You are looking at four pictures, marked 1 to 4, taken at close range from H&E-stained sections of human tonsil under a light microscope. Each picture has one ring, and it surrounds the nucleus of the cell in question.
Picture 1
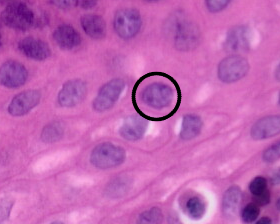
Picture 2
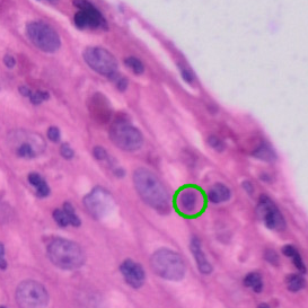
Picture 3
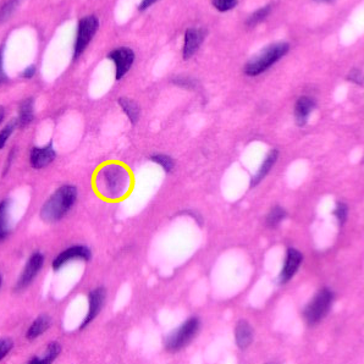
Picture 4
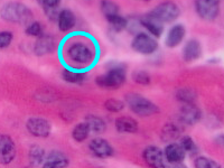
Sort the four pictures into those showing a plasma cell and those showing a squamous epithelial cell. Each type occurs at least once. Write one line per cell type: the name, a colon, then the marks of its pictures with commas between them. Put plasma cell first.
plasma cell: 4
squamous epithelial cell: 1, 2, 3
